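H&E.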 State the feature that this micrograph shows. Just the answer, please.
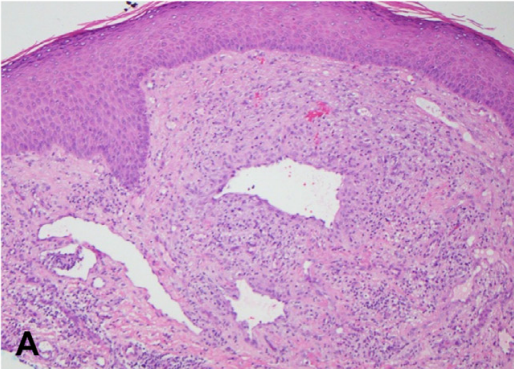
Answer: Irregular dilated vessels.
